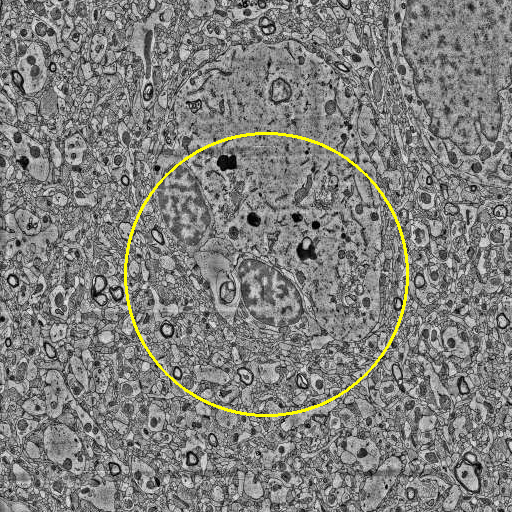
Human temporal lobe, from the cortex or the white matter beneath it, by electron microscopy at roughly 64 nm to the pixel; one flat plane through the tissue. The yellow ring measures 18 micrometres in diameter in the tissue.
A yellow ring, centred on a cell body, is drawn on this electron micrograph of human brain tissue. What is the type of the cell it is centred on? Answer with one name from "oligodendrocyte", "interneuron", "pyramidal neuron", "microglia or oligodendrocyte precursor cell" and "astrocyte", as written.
microglia or oligodendrocyte precursor cell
